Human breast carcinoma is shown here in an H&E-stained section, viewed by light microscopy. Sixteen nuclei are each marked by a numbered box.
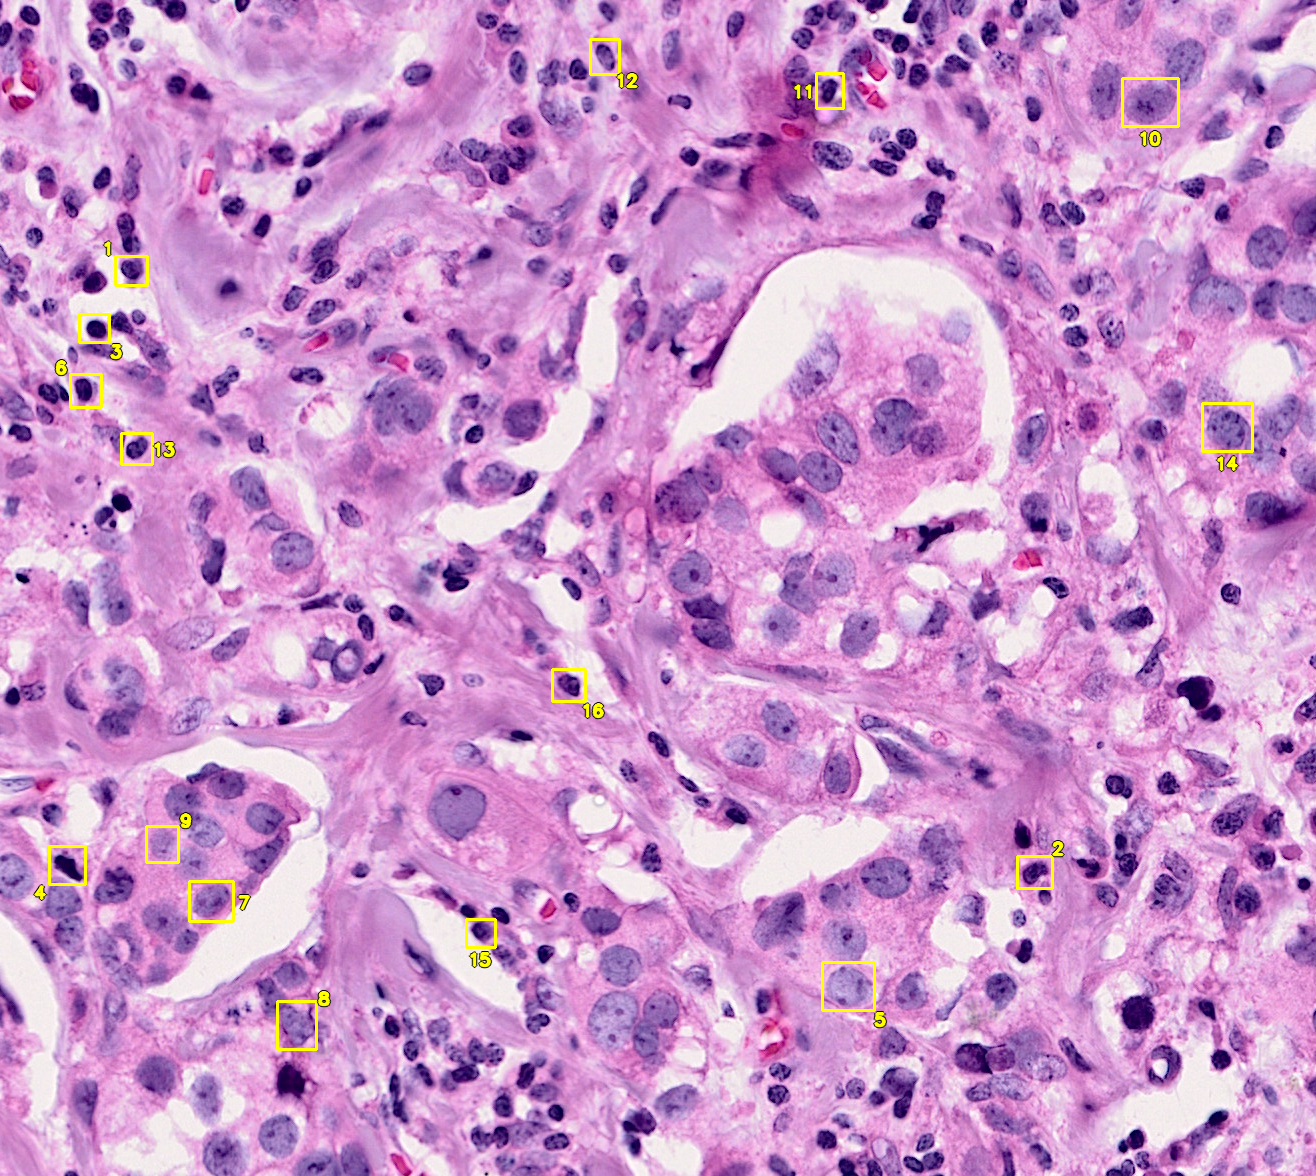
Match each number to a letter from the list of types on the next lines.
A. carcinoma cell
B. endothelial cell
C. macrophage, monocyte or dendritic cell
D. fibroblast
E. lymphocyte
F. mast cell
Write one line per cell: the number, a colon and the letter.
1: E
2: E
3: E
4: A
5: A
6: E
7: A
8: A
9: A
10: A
11: E
12: E
13: E
14: A
15: E
16: E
